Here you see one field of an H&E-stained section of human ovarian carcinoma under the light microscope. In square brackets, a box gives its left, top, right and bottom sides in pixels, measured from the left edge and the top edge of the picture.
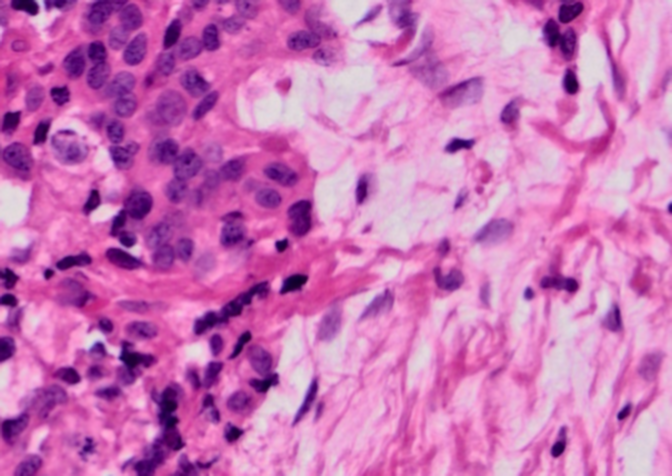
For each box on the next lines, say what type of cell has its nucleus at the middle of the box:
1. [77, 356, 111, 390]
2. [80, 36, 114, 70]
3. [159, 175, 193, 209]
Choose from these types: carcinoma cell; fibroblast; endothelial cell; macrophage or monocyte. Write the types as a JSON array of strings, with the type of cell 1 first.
["macrophage or monocyte", "carcinoma cell", "carcinoma cell"]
